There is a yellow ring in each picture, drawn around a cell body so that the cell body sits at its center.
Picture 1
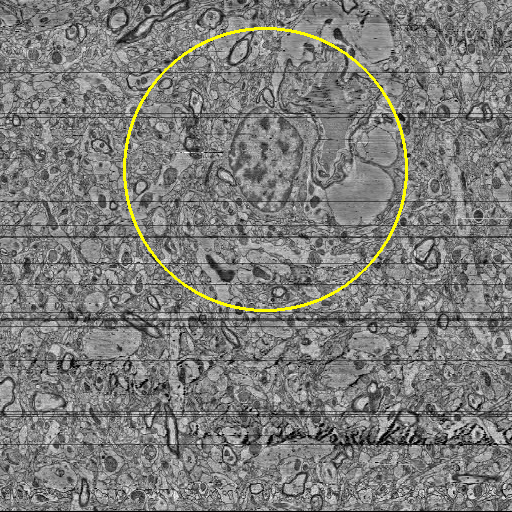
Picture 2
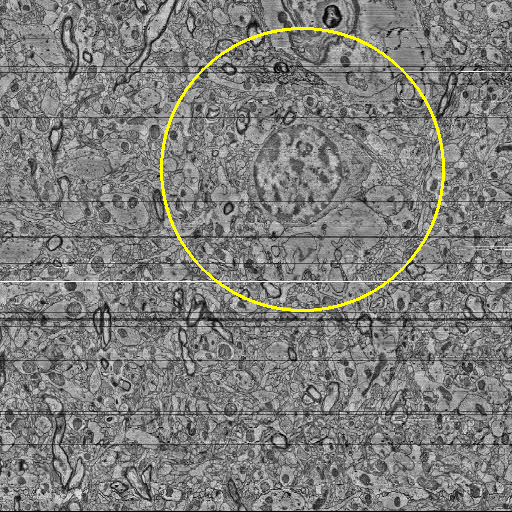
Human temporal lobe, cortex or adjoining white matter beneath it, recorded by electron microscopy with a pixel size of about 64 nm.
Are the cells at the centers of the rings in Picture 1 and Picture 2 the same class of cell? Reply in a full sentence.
Yes, the two cells are the same class of cell.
